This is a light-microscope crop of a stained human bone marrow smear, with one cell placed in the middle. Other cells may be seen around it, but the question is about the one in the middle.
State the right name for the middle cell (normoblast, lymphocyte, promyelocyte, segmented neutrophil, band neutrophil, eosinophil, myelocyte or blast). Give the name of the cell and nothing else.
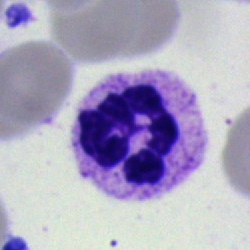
segmented neutrophil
